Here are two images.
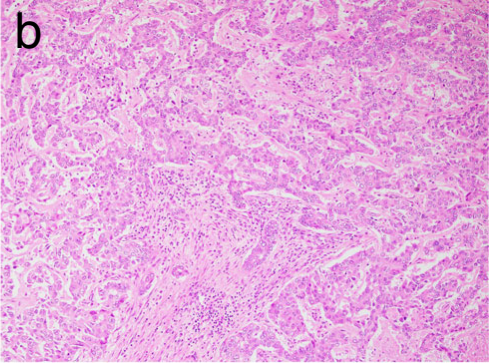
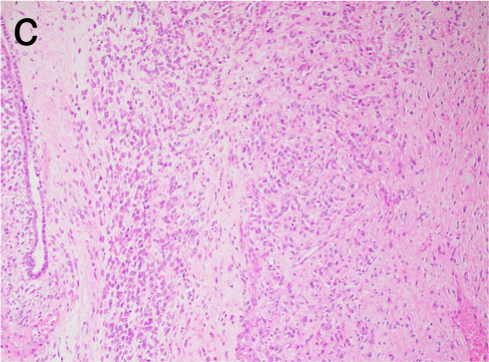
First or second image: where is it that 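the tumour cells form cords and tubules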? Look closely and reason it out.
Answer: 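Second image: sheets of oval to spindle cells with no gland formation across most of the field. First image: epithelial cells arranged in anastomosing cords around irregular tubular spaces.
Answer: the first image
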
